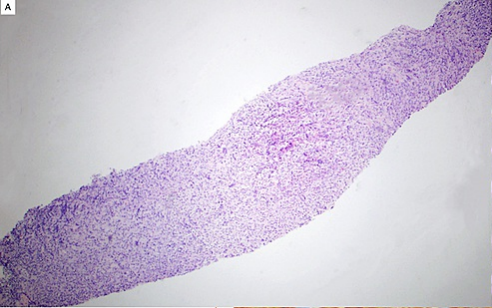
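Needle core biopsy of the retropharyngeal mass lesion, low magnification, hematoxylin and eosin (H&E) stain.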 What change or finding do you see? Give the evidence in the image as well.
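The core of tissue is densely packed with nuclei throughout. No normal glandular or layered architecture is seen. On this evidence: highly cellular neoplasm.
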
